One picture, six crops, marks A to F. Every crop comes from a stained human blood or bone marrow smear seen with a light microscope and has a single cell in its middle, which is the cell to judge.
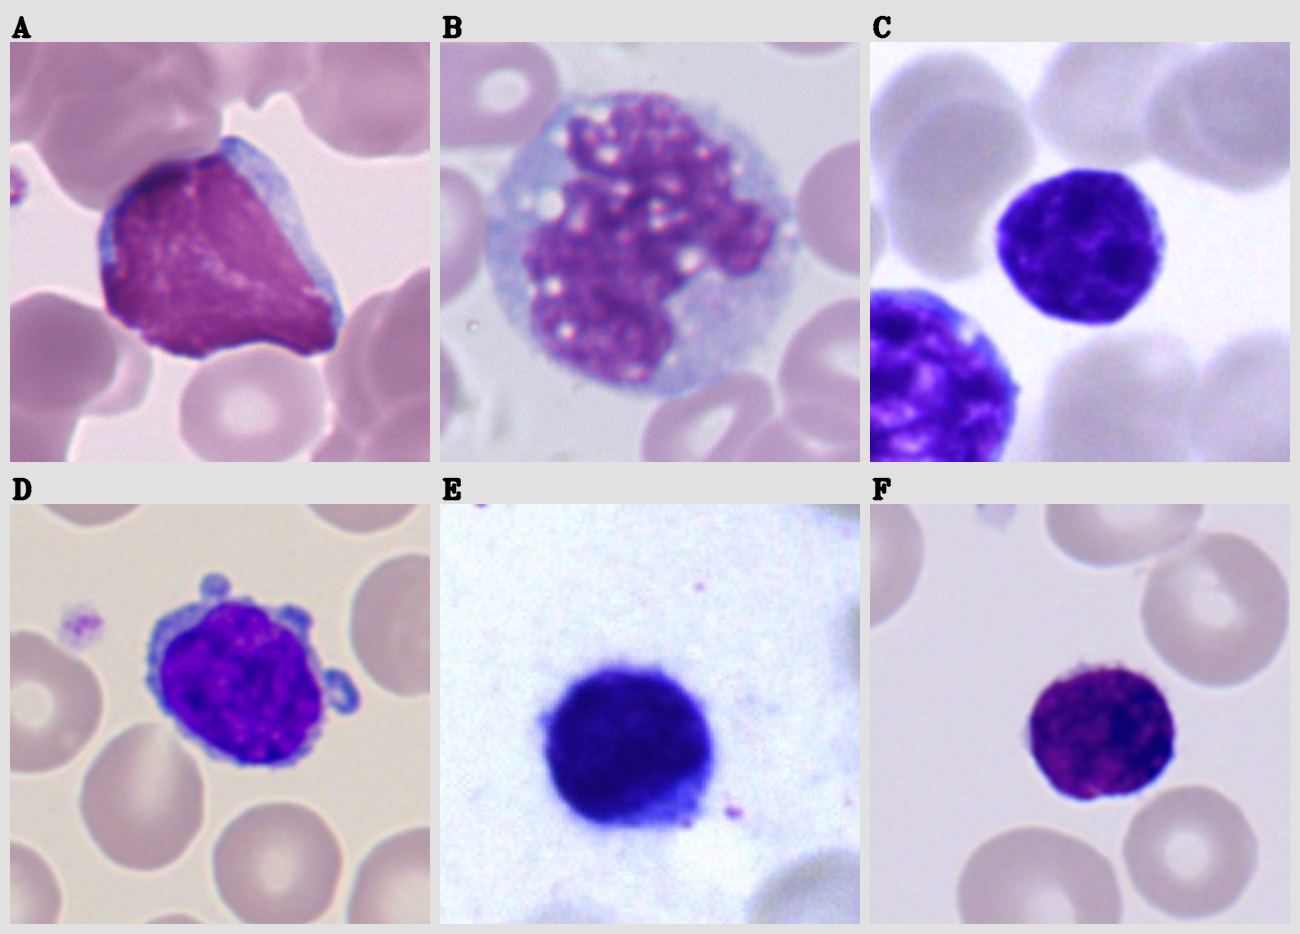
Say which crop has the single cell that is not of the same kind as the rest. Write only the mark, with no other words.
B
